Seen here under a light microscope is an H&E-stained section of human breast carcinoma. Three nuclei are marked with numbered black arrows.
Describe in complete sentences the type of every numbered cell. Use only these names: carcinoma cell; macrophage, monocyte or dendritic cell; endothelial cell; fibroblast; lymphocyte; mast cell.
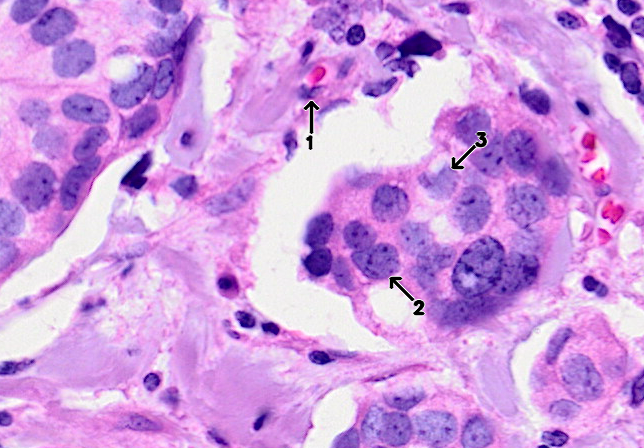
Cell 1 is an endothelial cell. Cells 2 and 3 are carcinoma cells.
